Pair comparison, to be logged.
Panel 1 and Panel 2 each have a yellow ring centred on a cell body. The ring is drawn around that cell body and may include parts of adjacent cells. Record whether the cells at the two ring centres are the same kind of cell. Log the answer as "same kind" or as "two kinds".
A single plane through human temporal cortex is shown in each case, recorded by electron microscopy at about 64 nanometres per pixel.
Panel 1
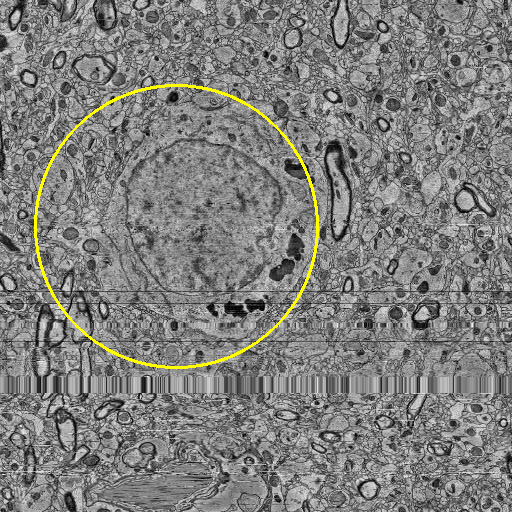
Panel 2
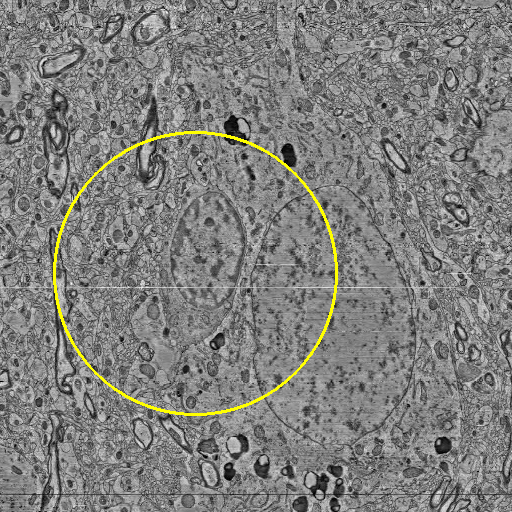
two kinds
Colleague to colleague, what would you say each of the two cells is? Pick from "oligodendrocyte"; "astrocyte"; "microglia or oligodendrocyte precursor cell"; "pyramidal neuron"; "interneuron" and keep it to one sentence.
The cell in the first picture is an interneuron; the second picture's cell is an oligodendrocyte.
